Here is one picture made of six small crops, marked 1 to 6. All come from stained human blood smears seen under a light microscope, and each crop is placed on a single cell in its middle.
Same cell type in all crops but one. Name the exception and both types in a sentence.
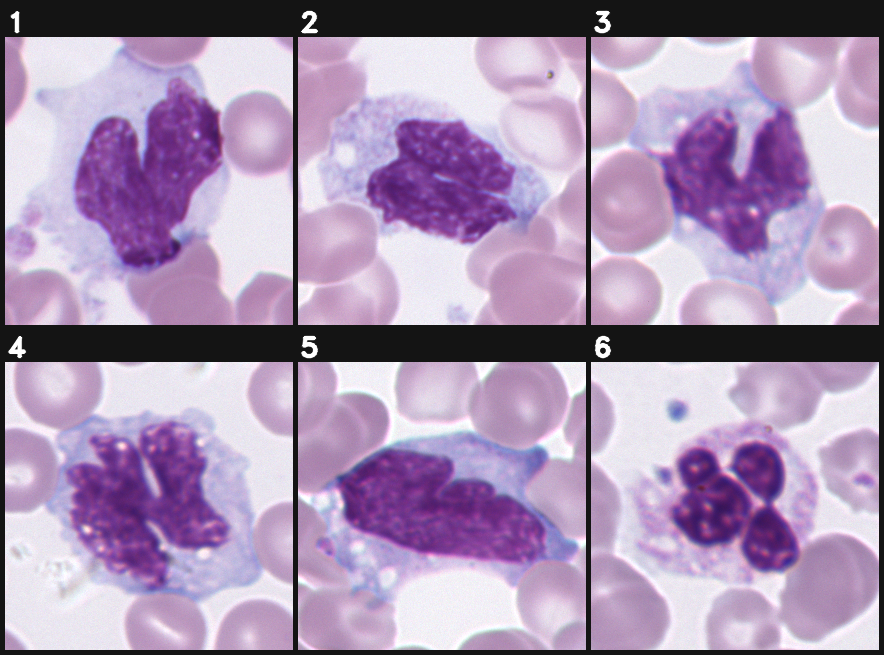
The exception in this group is crop 6, a neutrophil, and the others are all monocytes.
